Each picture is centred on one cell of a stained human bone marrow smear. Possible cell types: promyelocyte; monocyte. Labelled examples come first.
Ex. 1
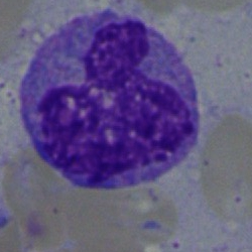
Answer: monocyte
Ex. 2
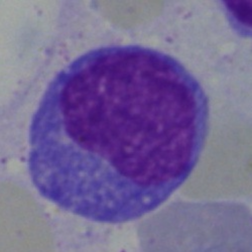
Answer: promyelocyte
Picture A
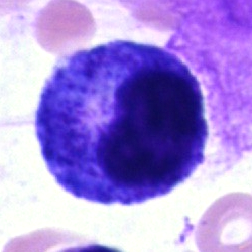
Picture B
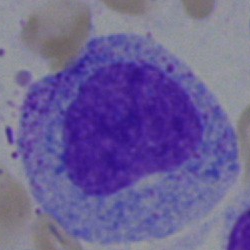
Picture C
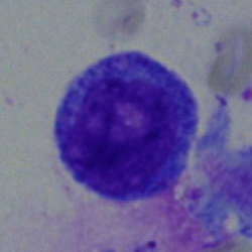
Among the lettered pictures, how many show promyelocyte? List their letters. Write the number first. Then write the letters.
Count: 3 (A, B, C)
